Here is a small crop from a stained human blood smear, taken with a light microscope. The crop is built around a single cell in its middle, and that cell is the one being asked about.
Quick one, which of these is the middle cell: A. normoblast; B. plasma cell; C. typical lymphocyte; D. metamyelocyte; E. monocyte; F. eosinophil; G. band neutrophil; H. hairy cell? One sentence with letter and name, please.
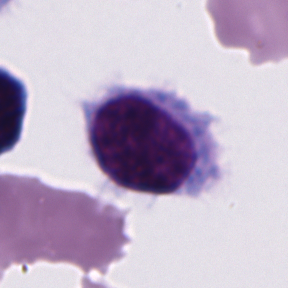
Identification: the cell in the middle is a hairy cell, matching option H.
